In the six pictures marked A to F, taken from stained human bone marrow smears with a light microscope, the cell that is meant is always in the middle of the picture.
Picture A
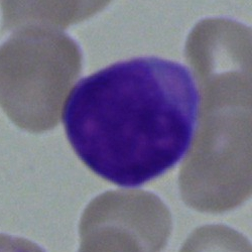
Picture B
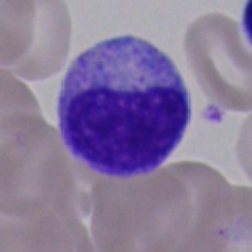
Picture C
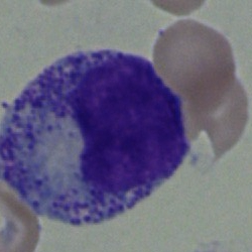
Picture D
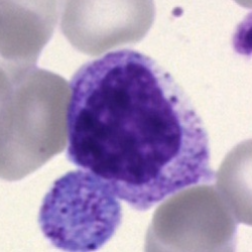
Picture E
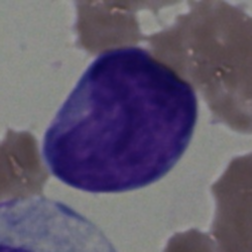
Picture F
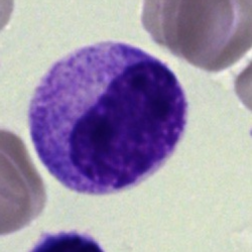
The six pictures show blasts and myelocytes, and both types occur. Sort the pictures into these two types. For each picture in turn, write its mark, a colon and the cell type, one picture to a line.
A: blast
B: myelocyte
C: myelocyte
D: myelocyte
E: blast
F: myelocyte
